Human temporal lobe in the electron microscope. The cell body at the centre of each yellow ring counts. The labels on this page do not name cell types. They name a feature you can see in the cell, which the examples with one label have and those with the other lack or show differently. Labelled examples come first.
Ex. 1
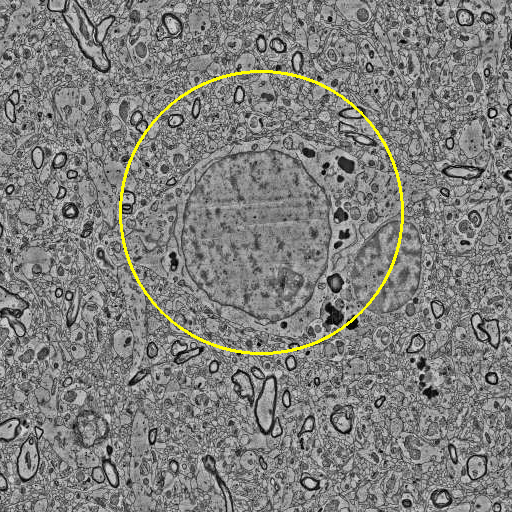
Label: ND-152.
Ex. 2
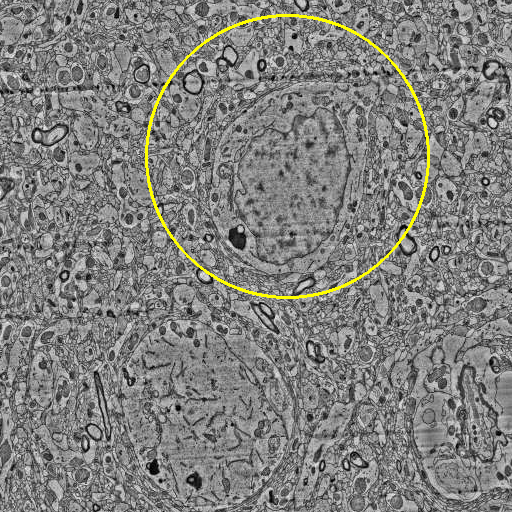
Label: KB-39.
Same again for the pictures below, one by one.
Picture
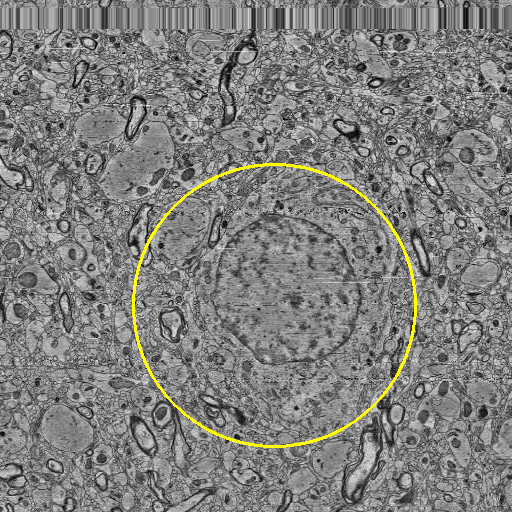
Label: ND-152.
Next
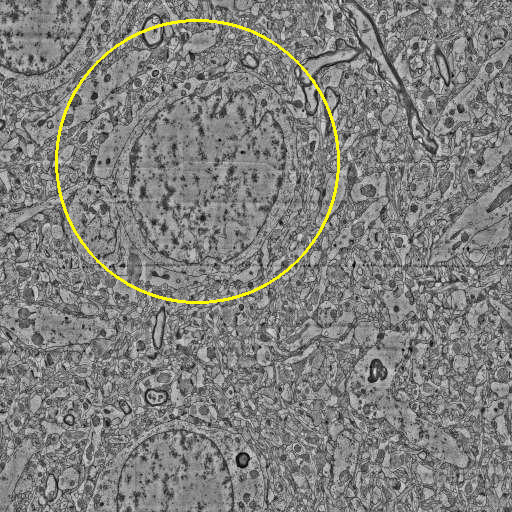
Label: ND-152.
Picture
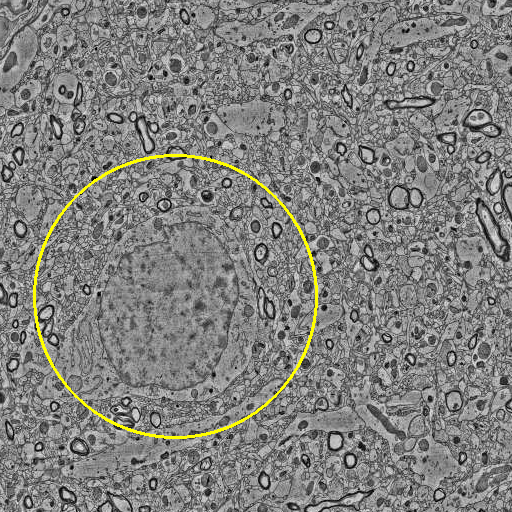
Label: ND-152.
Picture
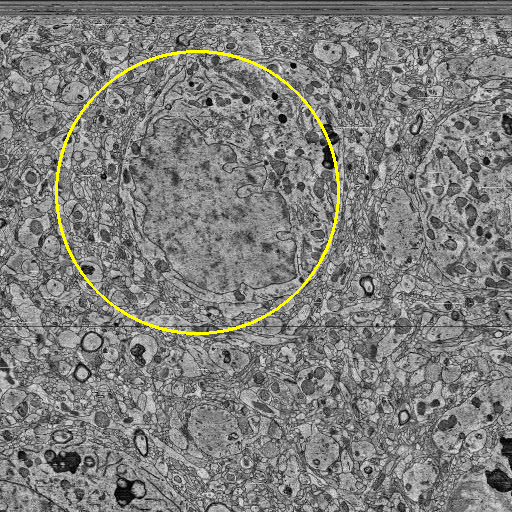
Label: KB-39.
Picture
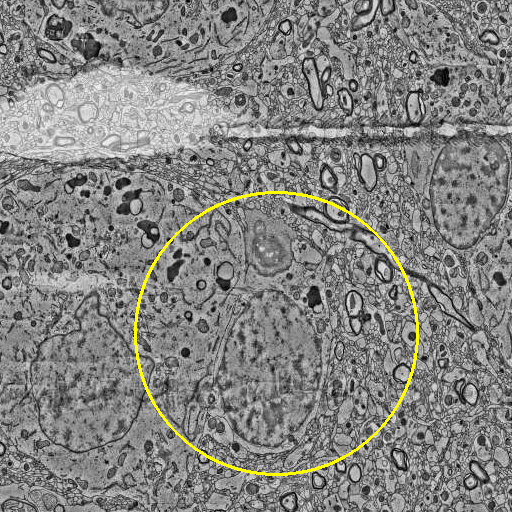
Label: ND-152.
